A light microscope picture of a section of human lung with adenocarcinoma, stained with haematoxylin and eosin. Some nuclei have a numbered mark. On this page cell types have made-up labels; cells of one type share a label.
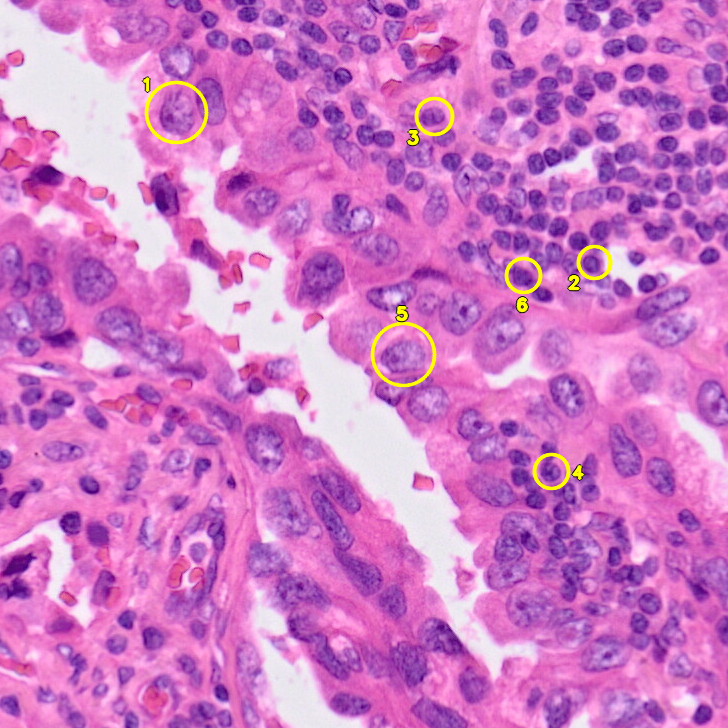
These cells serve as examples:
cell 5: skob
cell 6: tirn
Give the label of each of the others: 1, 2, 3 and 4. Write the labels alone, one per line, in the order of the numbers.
skob
tirn
tirn
tirn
